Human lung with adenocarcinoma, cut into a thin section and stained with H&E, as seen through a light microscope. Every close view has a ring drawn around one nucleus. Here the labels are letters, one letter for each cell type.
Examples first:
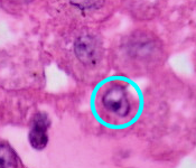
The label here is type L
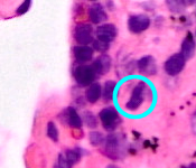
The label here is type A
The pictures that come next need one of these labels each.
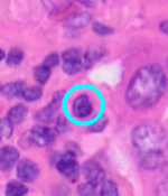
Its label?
type A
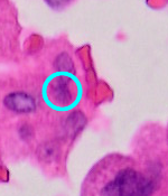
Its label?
type L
